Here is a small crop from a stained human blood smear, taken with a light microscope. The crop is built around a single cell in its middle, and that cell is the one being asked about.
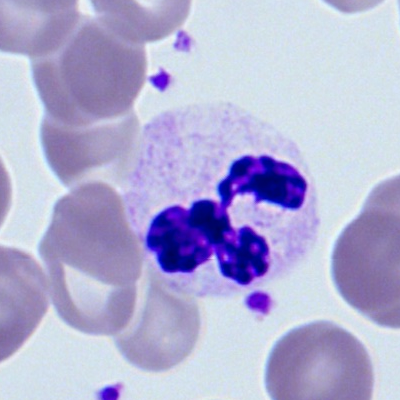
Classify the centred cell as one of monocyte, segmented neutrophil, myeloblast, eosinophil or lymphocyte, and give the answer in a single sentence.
Among the cells in view, the one in the middle is a segmented neutrophil.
